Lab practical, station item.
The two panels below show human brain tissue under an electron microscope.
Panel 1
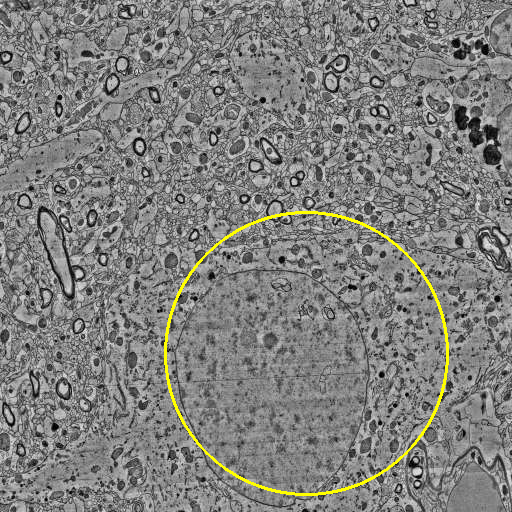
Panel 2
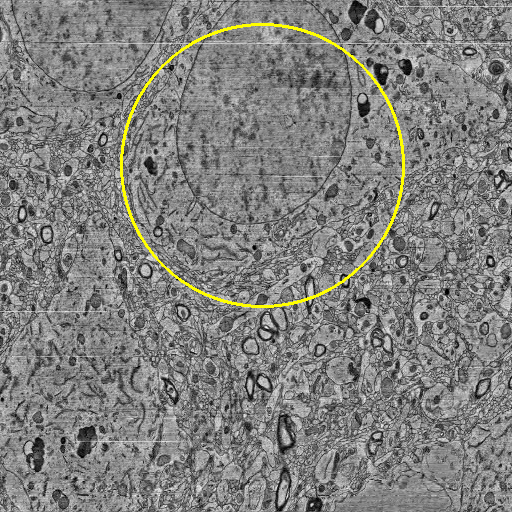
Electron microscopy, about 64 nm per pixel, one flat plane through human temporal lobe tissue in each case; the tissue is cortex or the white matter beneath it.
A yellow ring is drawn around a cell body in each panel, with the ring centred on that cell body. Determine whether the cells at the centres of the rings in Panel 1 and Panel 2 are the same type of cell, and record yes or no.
yes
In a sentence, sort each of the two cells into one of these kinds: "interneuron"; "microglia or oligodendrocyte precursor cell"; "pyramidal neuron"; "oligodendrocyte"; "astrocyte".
Each of the two cells is a pyramidal neuron.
